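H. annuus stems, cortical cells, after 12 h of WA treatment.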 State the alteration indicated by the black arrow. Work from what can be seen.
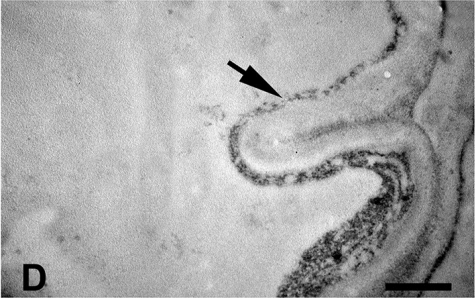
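The layered cell wall bends back on itself in a deep U-shaped fold. A dark granular lining follows the folded wall surface.
Answer: cell wall infolding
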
